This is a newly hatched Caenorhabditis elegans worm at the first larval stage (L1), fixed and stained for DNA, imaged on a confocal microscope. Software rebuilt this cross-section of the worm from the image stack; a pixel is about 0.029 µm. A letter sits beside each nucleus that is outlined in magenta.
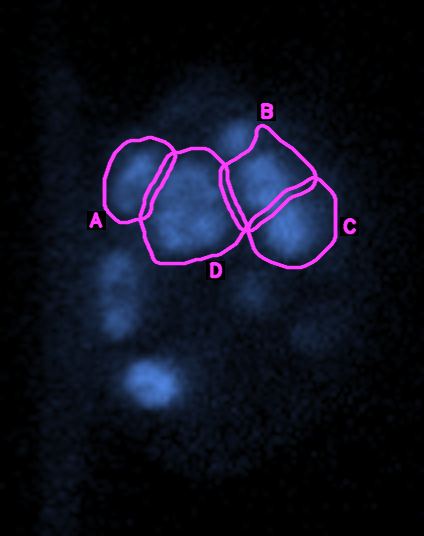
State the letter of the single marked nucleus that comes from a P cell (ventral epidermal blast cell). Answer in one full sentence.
Nucleus A belongs to a P cell (ventral epidermal blast cell).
